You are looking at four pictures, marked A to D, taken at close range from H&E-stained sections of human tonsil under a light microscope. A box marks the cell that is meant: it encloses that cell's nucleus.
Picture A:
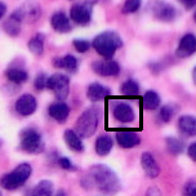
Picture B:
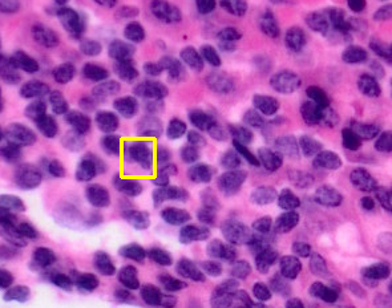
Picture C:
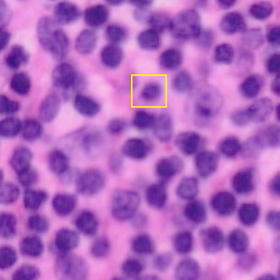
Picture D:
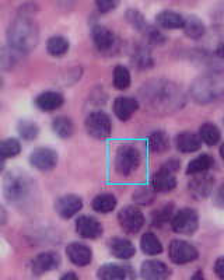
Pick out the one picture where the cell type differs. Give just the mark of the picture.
D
